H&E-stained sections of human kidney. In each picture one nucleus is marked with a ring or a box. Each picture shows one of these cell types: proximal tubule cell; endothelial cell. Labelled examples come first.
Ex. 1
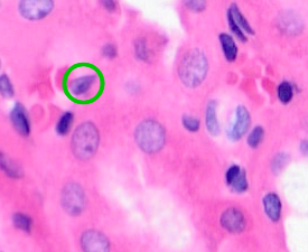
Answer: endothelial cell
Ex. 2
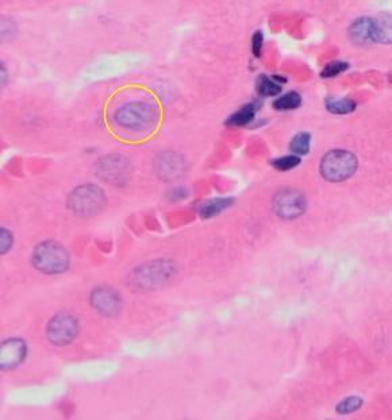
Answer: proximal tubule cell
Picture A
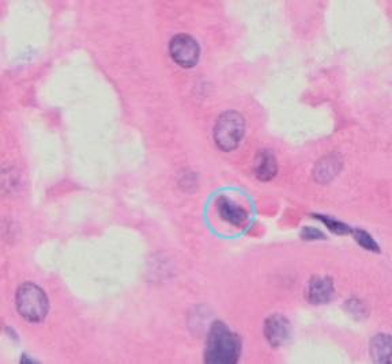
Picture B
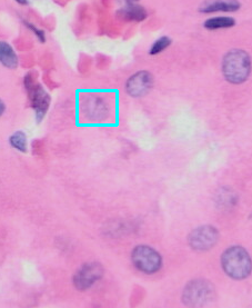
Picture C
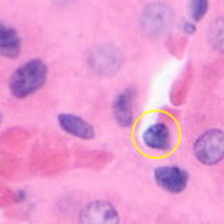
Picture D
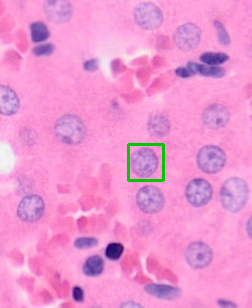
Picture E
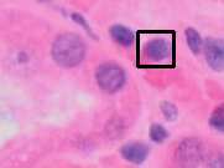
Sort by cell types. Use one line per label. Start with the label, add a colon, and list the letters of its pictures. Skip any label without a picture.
proximal tubule cell: B, D
endothelial cell: A, C, E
